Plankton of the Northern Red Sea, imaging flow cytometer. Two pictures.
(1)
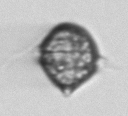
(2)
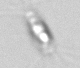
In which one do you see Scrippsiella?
In picture 1.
